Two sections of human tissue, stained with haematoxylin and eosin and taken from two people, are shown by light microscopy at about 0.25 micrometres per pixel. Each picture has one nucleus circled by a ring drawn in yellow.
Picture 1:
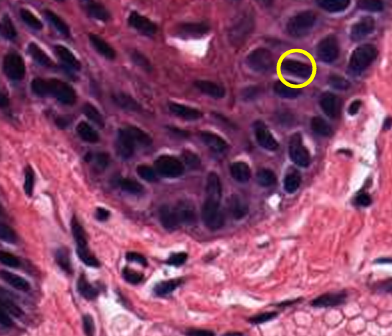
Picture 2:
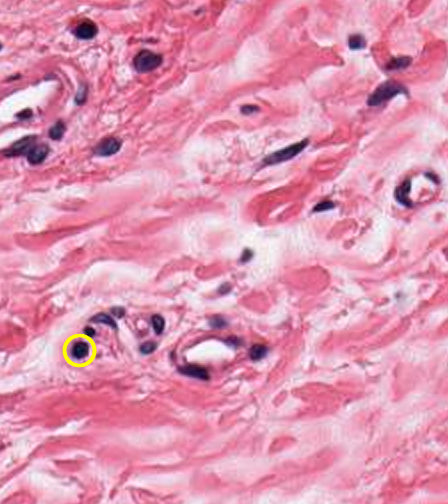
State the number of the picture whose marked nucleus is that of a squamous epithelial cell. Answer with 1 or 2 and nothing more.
1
